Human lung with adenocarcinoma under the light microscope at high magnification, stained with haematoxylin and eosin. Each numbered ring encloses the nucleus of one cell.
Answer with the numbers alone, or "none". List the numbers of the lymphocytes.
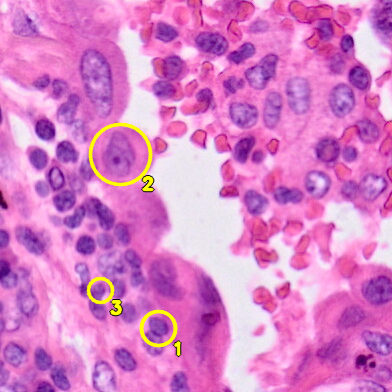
1, 3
